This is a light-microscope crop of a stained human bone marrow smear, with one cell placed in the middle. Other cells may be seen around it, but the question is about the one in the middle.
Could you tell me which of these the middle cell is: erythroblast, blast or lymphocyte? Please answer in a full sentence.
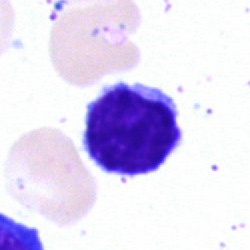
To answer, the cell in the center of the crop is a lymphocyte.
